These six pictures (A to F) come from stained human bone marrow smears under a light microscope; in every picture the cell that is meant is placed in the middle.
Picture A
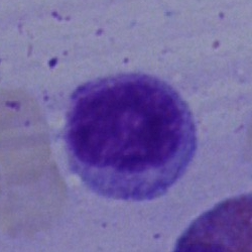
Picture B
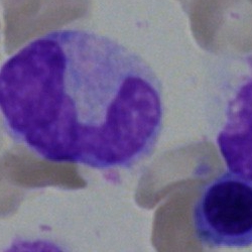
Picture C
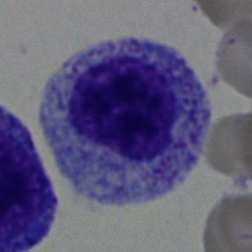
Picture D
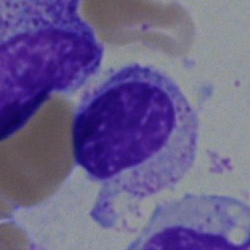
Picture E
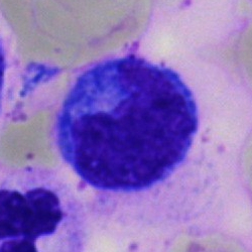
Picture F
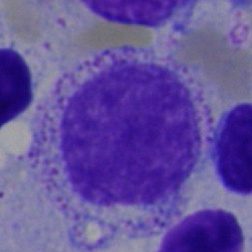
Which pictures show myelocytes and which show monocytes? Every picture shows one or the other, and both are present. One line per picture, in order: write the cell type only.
myelocyte
monocyte
myelocyte
myelocyte
monocyte
myelocyte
